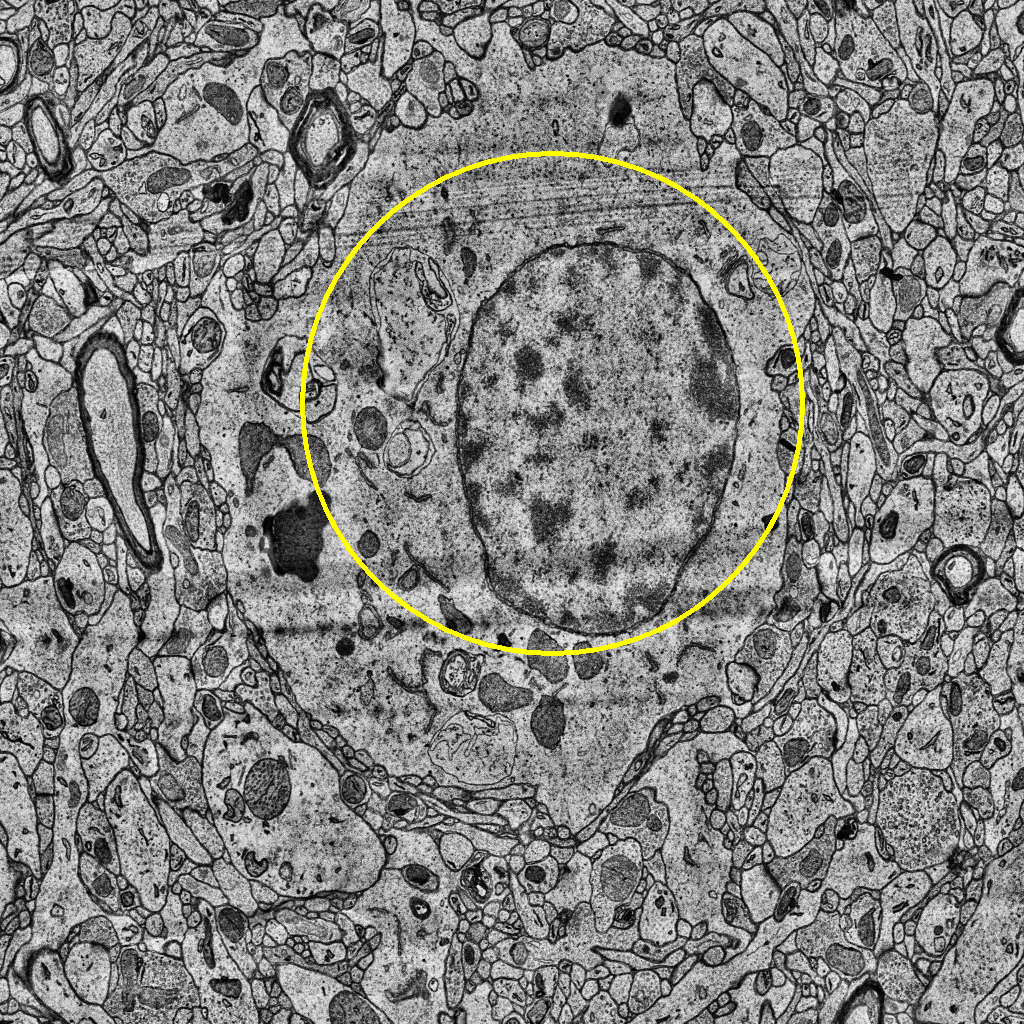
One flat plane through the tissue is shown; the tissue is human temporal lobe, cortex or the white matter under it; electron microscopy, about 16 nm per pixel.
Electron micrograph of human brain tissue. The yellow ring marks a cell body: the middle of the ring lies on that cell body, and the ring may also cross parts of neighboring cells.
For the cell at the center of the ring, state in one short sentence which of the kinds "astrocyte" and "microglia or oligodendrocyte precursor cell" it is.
This ring's center lies on an astrocyte.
